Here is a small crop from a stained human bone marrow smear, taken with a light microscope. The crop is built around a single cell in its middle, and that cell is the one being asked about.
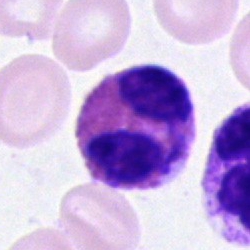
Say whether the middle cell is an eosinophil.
yes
